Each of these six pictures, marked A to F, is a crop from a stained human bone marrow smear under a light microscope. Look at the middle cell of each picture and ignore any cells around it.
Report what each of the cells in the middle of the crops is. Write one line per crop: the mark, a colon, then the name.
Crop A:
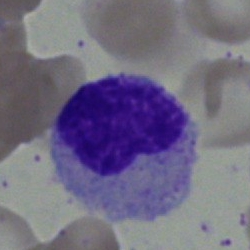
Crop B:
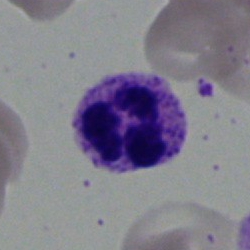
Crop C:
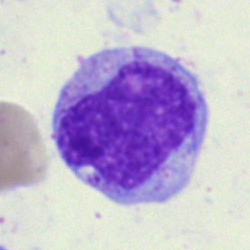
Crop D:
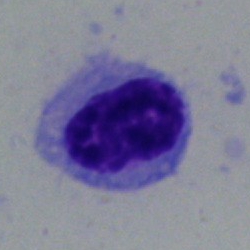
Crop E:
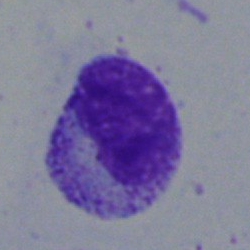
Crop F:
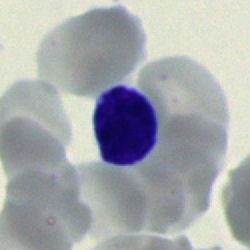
A: metamyelocyte
B: segmented neutrophil
C: monocyte
D: hairy cell
E: myelocyte
F: lymphocyte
